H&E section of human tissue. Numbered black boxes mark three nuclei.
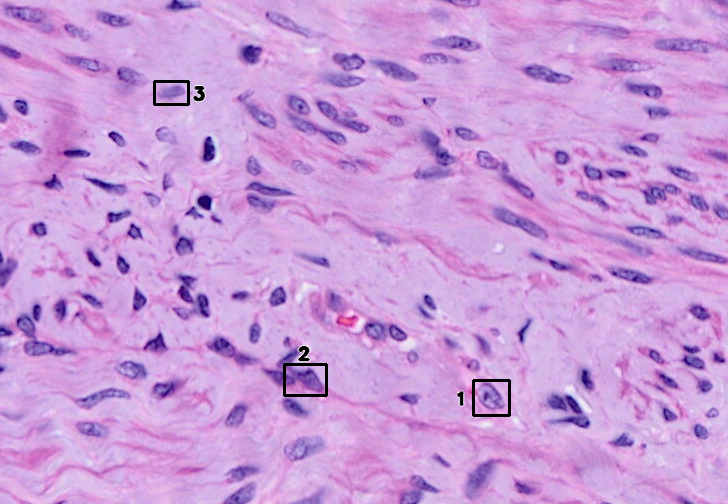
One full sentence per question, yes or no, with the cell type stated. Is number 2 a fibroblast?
No, number 2 corresponds to an endothelial cell, not a fibroblast.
